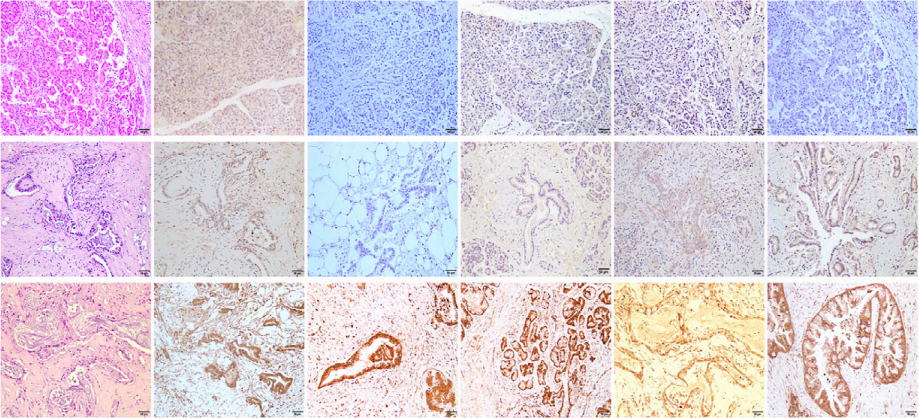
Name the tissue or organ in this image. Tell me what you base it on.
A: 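The top row shows densely packed small glandular acini. The lower rows show irregular duct-like glands set in pale fibrous stroma. The answer: pancreatic tissue.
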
